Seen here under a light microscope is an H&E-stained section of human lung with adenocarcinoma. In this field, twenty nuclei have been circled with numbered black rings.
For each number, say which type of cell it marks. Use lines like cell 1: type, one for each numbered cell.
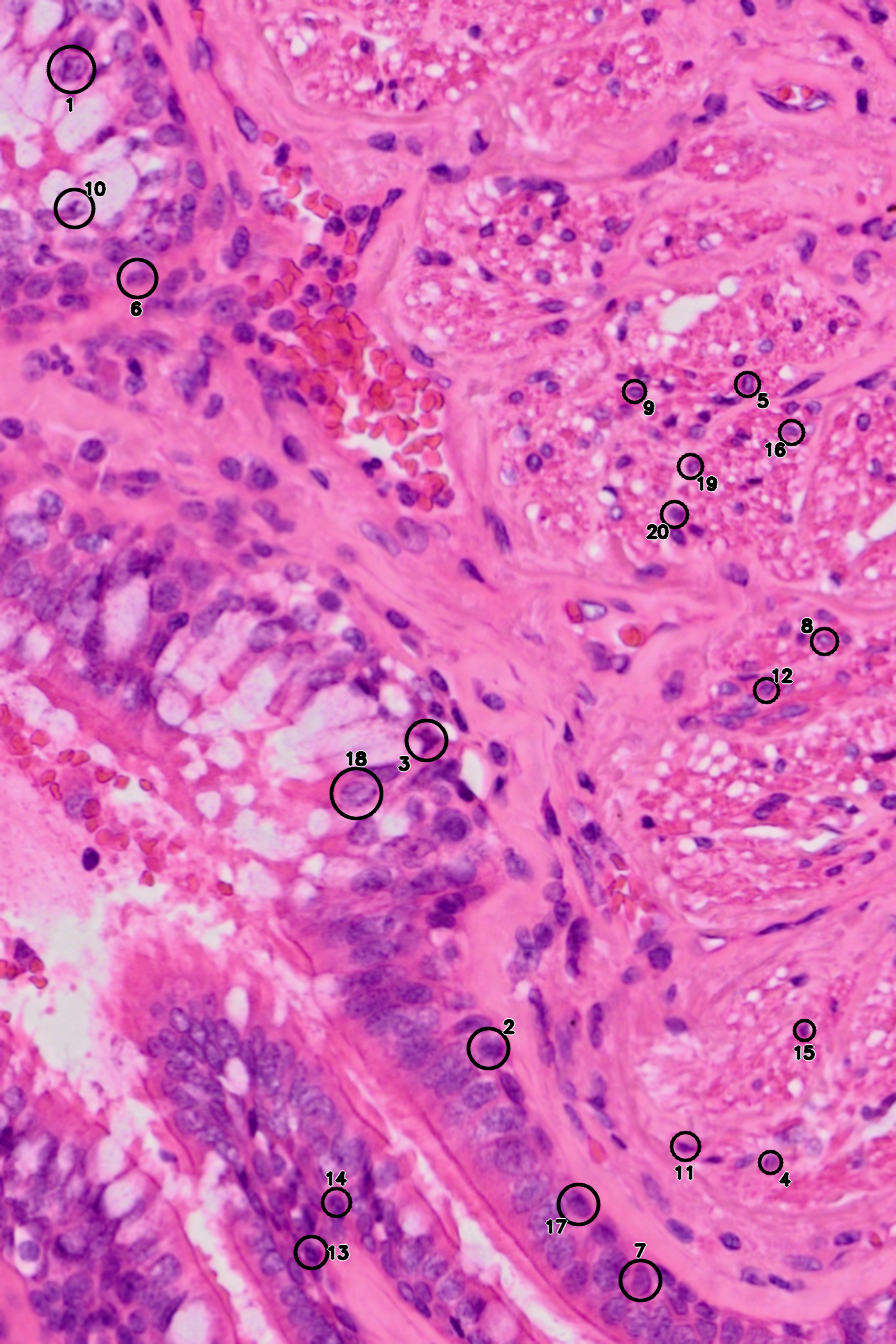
cell 1: ciliated epithelial cell
cell 2: ciliated epithelial cell
cell 3: ciliated epithelial cell
cell 4: smooth muscle cell or pericyte
cell 5: smooth muscle cell or pericyte
cell 6: ciliated epithelial cell
cell 7: ciliated epithelial cell
cell 8: smooth muscle cell or pericyte
cell 9: smooth muscle cell or pericyte
cell 10: ciliated epithelial cell
cell 11: smooth muscle cell or pericyte
cell 12: smooth muscle cell or pericyte
cell 13: ciliated epithelial cell
cell 14: ciliated epithelial cell
cell 15: smooth muscle cell or pericyte
cell 16: smooth muscle cell or pericyte
cell 17: ciliated epithelial cell
cell 18: ciliated epithelial cell
cell 19: smooth muscle cell or pericyte
cell 20: smooth muscle cell or pericyte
